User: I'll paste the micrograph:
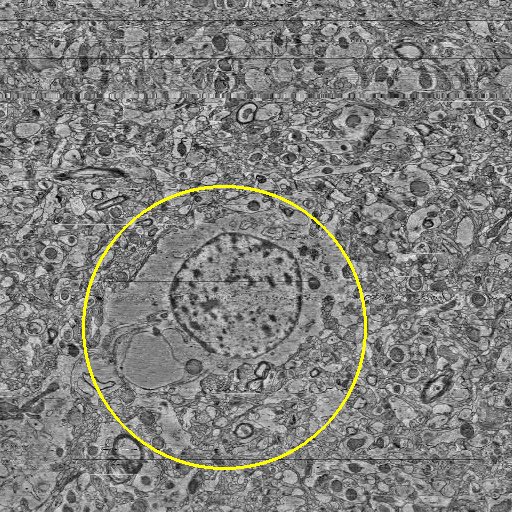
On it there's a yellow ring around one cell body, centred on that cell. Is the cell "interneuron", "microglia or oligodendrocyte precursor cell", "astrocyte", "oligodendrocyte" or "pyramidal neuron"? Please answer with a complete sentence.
The cell ringed in yellow is an astrocyte.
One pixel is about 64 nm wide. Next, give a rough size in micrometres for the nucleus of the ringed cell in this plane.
About 8 micrometers across, in this plane.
